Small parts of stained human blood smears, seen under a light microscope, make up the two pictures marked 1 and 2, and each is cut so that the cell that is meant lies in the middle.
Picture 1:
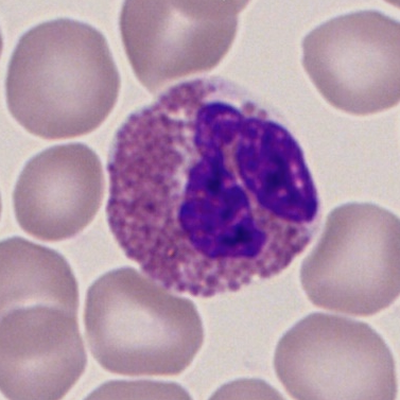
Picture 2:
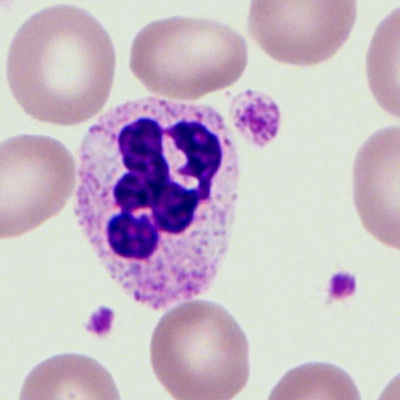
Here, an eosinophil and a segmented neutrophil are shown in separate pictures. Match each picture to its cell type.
1: eosinophil
2: segmented neutrophil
